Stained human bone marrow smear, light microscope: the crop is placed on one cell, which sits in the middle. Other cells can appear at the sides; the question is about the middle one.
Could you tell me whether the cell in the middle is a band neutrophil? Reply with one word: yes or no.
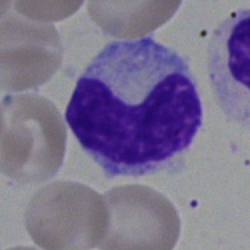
yes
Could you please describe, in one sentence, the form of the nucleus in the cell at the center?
What stands out is a nucleus forming one compact round, oval or kidney-shaped mass.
